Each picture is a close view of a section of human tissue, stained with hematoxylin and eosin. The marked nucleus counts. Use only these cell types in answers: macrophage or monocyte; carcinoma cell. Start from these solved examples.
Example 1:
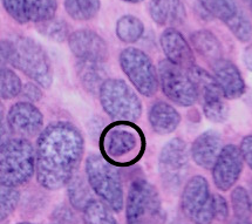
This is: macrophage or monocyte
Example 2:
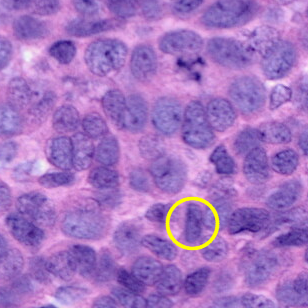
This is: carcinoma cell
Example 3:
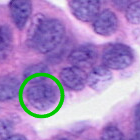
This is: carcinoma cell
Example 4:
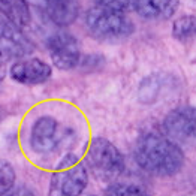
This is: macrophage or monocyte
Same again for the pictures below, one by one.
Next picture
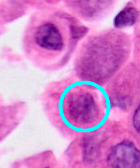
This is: carcinoma cell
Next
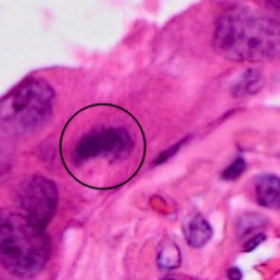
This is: carcinoma cell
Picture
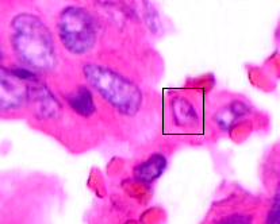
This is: macrophage or monocyte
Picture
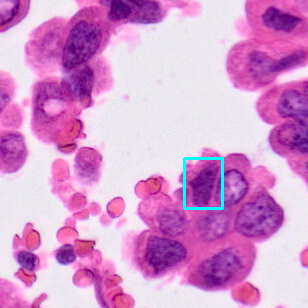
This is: carcinoma cell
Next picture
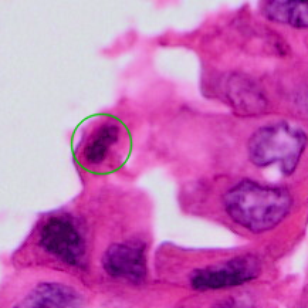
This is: macrophage or monocyte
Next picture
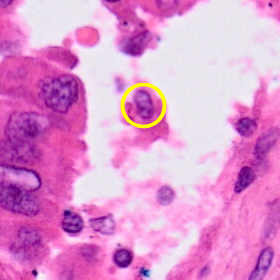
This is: macrophage or monocyte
